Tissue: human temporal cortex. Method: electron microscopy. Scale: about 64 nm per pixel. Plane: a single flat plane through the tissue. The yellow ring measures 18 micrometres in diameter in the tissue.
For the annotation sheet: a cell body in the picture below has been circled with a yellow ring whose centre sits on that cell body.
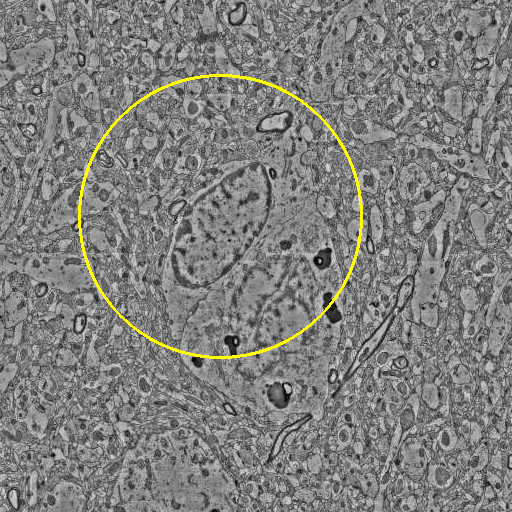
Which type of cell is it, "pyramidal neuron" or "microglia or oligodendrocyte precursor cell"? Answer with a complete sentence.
The circled cell is a microglial cell or oligodendrocyte precursor cell.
